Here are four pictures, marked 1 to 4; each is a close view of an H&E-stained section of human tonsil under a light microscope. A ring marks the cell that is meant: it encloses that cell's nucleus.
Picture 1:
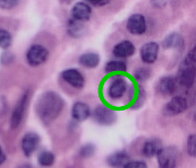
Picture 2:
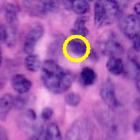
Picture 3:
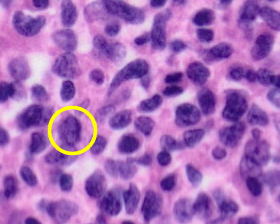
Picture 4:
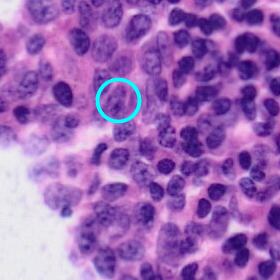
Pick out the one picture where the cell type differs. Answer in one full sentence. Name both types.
The others show proliferating B cells, but picture 1 shows a plasma cell.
